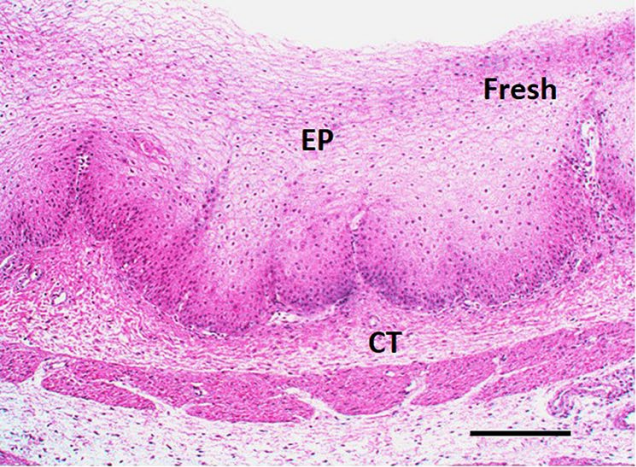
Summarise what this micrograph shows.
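This is a section of mucosa with a thick stratified epithelium over a connective tissue layer. The deepest epithelial cells are crowded with dark purple nuclei and form rounded downgrowths into the tissue below, while the cells toward the surface become larger and paler with scattered small nuclei. Beneath the epithelium lies pink fibrous connective tissue, and deeper still run bundles of more intensely pink muscle.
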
